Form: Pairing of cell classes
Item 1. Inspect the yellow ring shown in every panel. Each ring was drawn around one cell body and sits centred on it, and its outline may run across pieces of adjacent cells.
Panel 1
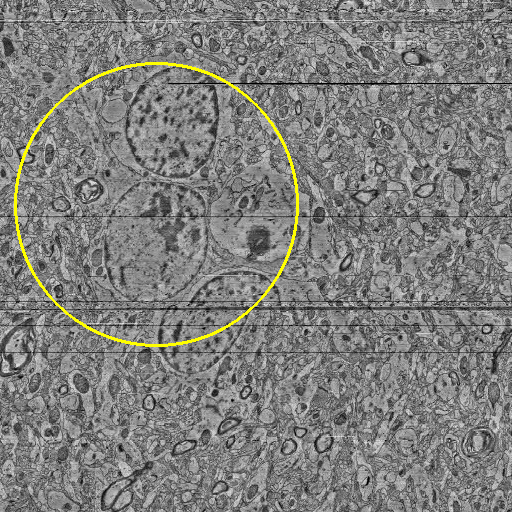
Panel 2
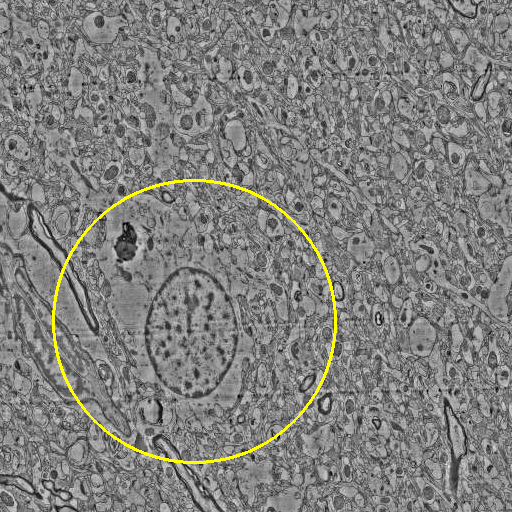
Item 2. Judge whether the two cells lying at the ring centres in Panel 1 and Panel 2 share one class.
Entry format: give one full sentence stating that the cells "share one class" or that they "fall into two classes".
The cells at the ring centres in Panel 1 and Panel 2 share one class.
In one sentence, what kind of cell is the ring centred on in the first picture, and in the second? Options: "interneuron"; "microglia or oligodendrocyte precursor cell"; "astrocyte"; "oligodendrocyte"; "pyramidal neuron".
The first and the second cell are each an astrocyte.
